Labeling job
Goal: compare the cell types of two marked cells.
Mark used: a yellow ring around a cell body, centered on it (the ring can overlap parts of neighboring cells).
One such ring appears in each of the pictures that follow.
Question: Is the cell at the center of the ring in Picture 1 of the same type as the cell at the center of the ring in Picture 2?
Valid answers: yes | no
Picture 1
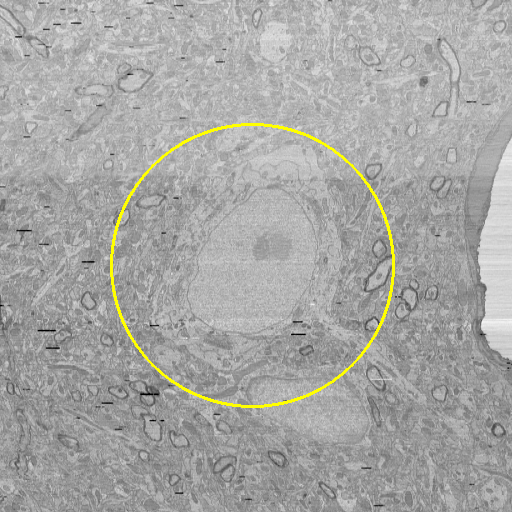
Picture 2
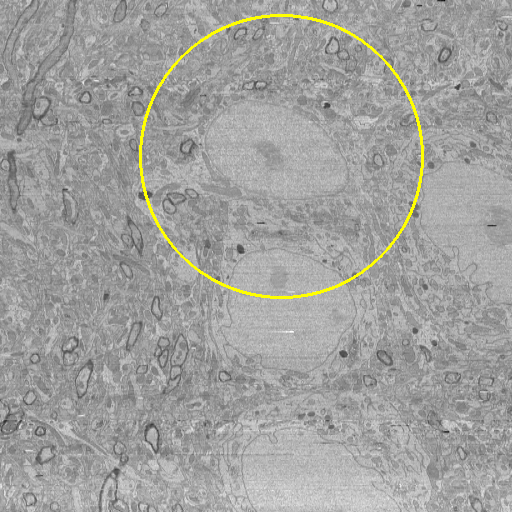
no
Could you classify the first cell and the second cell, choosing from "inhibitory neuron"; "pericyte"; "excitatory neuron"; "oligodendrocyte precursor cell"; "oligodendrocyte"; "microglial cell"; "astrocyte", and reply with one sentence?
The second cell is an astrocyte, while the first is an excitatory neuron.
